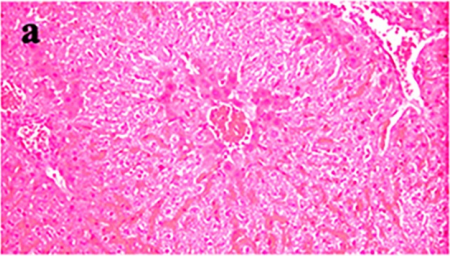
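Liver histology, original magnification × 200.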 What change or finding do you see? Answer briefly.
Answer: sinusoidal vascular congestion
